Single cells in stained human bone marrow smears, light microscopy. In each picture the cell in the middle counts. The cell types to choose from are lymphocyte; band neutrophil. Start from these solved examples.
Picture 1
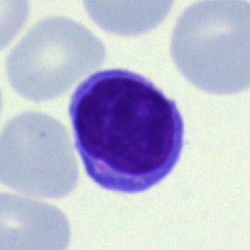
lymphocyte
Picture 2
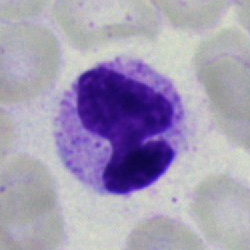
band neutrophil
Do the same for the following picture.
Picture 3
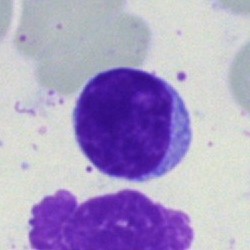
lymphocyte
